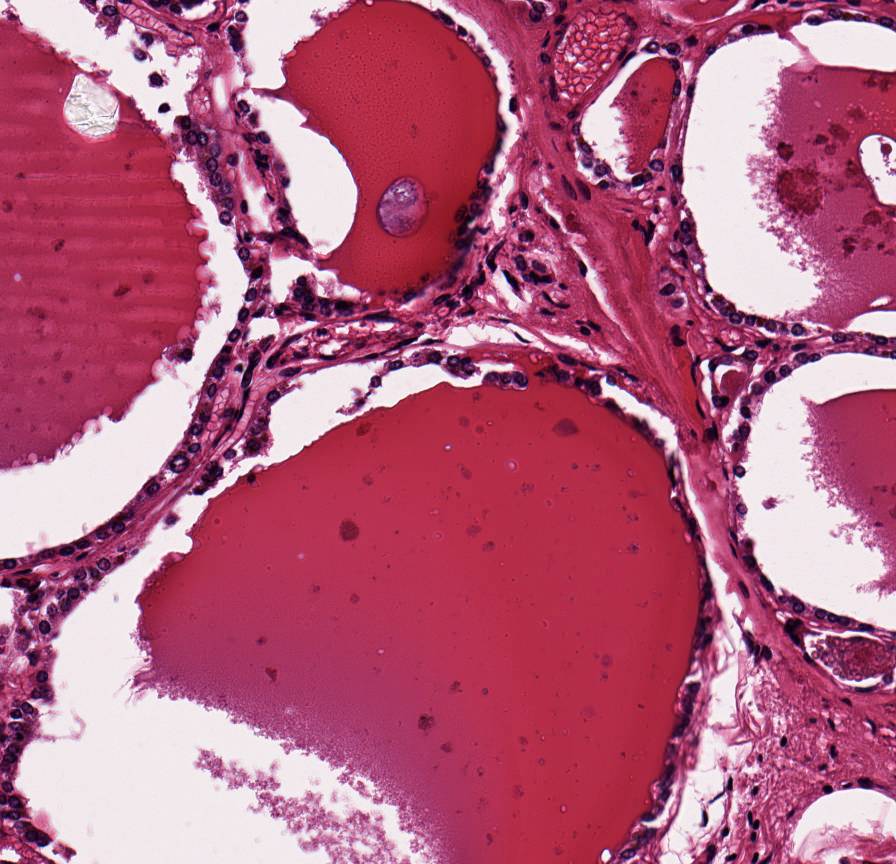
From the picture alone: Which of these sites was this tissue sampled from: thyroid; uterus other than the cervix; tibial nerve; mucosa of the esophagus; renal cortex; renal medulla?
thyroid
